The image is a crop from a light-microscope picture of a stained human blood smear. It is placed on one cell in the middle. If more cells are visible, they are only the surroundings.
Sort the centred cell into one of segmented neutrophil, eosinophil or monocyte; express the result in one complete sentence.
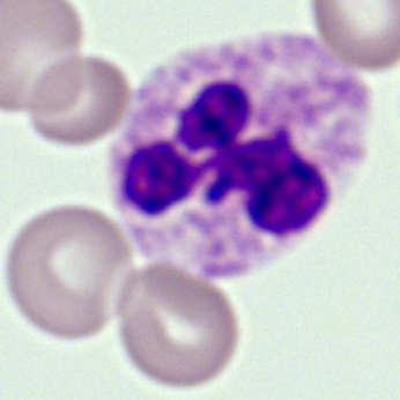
Of the cells in this crop, the central one is a segmented neutrophil.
